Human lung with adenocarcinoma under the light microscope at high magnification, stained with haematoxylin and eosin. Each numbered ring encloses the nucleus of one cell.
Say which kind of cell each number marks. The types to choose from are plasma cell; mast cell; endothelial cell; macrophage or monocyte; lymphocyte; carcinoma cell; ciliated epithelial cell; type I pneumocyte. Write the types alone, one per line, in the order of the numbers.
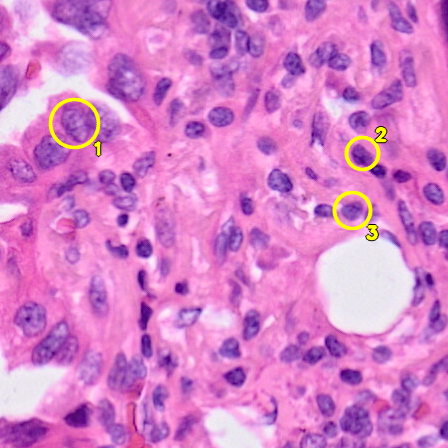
carcinoma cell
lymphocyte
lymphocyte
